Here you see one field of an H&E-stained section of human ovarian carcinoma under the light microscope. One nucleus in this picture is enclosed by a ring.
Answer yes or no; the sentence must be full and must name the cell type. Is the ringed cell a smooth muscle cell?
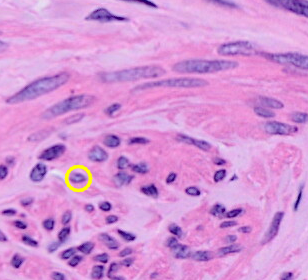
Yes, the ringed cell counts as a smooth muscle cell in this tissue.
